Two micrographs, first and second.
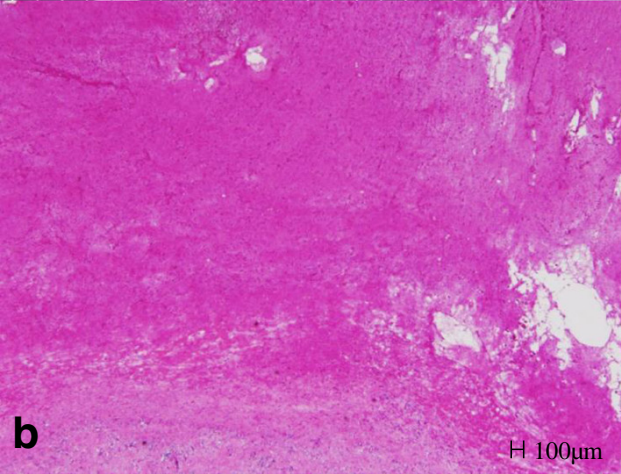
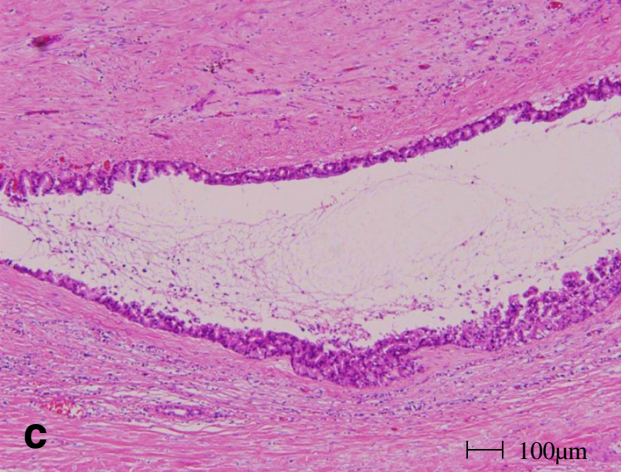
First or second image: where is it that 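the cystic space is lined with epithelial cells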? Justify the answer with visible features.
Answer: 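Second image: a cystic space bordered on both sides by a continuous row of cells with dark nuclei. First image: only amorphous pink material with clefts, no cell lining visible.
Hence: the second image.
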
